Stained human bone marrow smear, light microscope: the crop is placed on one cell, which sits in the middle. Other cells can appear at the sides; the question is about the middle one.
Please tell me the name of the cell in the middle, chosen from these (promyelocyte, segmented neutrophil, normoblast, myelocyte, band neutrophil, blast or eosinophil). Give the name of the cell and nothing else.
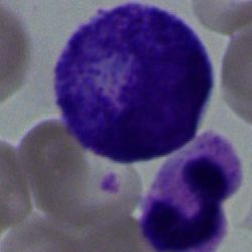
promyelocyte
